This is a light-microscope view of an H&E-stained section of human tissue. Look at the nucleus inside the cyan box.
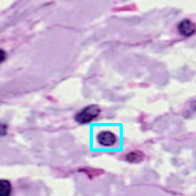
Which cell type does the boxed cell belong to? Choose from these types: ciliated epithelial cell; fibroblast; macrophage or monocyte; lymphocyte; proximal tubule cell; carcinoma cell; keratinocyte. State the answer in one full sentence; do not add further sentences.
Within the stained tissue, the boxed cell is a lymphocyte.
